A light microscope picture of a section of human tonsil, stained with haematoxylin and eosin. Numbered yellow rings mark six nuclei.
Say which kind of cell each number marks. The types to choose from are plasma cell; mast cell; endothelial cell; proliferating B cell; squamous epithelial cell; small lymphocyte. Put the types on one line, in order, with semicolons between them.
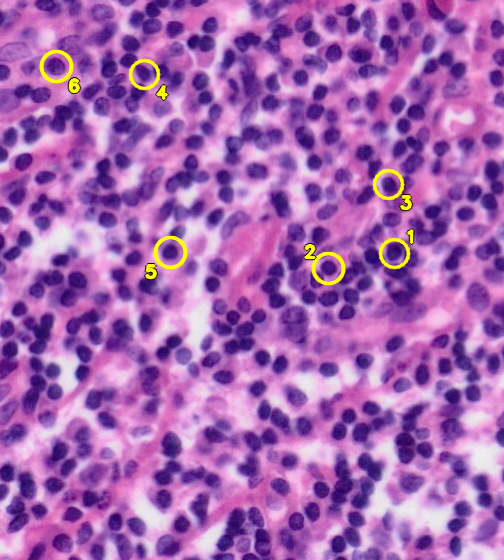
small lymphocyte; small lymphocyte; small lymphocyte; small lymphocyte; plasma cell; endothelial cell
